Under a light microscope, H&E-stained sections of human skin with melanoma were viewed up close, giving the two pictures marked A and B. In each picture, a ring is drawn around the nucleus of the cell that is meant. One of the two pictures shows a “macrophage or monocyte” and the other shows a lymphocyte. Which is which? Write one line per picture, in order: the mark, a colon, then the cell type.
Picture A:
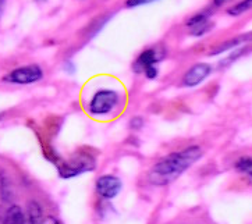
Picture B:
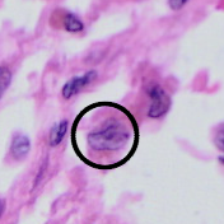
A: lymphocyte
B: macrophage or monocyte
